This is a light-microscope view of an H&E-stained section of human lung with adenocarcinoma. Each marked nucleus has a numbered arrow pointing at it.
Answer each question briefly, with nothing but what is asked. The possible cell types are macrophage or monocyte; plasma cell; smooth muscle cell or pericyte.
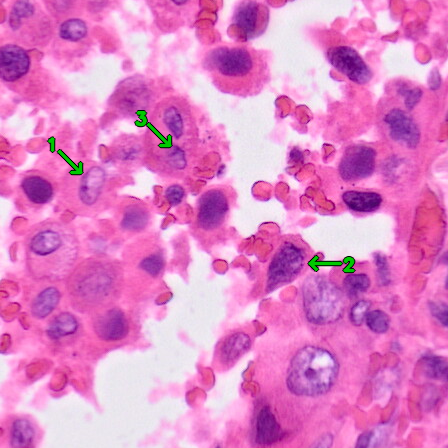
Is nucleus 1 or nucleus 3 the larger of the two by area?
1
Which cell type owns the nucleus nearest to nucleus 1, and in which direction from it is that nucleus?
a macrophage or monocyte, above and to the right of nucleus 1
